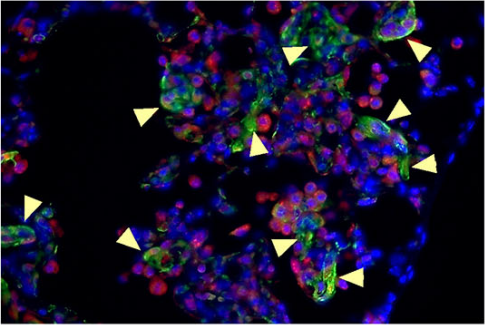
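This is lung tissue in which dark air spaces are surrounded by walls that are thick and crowded with cells. Large clusters of rounded cells with bright magenta-red cytoplasm pile up within and along the walls. Green strands and rings run around and between several of these clusters, and the yellow arrowheads point at these green-rich spots. Small blue nuclei are scattered throughout the walls and clusters. The dense, cell-packed areas contrast with the few thin walls left around the open spaces.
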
